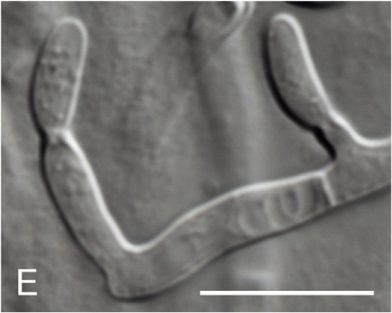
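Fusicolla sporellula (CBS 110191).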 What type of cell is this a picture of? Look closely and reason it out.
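A septate hypha bears short upright cells at two points. The upright cells are slender with rounded tips. On this evidence: Conidiogenous cells.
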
